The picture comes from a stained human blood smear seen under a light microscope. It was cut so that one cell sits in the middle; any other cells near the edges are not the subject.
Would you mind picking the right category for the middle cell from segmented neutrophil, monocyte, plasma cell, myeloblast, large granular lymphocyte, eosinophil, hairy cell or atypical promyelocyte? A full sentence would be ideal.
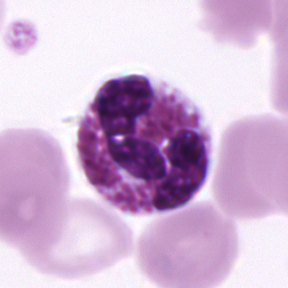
What sits at the centre of this crop is an eosinophil.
